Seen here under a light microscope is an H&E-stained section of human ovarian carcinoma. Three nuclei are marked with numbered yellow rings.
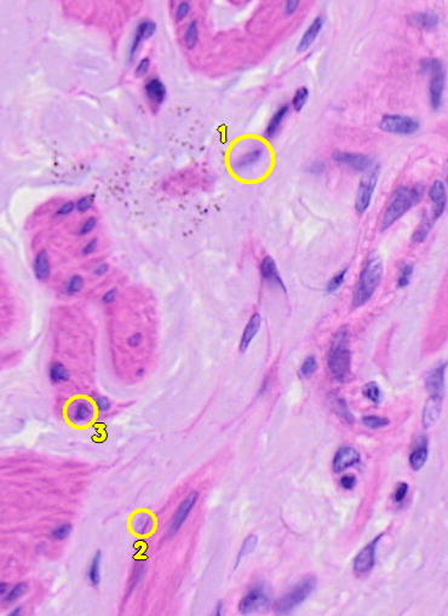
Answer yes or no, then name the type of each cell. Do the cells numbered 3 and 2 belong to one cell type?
Yes, the two numbered cells, 3 and 2, are both smooth muscle cells.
